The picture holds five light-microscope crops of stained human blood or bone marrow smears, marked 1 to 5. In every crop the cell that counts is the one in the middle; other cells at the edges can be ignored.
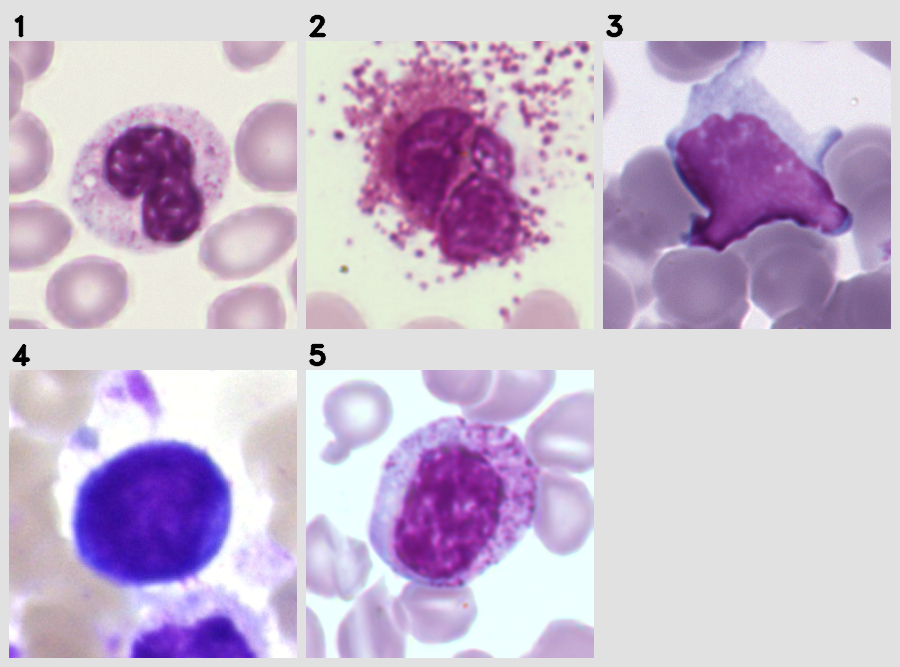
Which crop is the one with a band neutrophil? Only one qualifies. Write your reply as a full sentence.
Crop 1 is the crop that displays a band neutrophil.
